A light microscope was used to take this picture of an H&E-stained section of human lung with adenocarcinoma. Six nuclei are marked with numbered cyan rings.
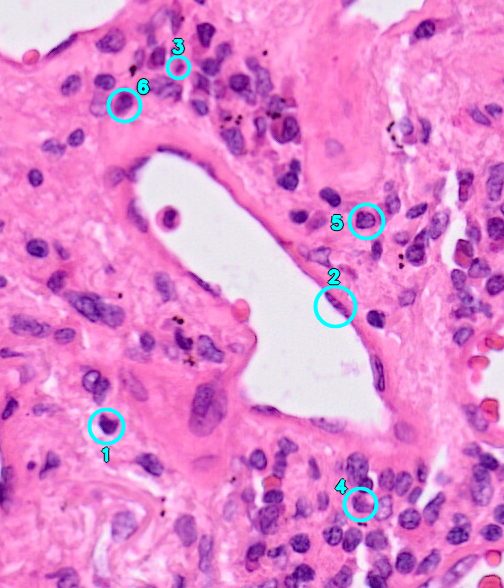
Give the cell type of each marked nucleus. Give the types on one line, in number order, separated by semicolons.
lymphocyte; endothelial cell; plasma cell; lymphocyte; mast cell; plasma cell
